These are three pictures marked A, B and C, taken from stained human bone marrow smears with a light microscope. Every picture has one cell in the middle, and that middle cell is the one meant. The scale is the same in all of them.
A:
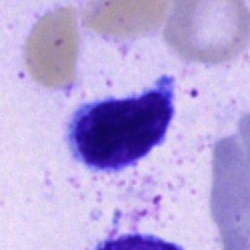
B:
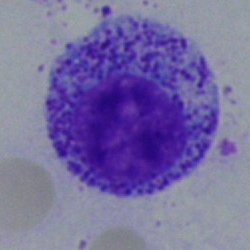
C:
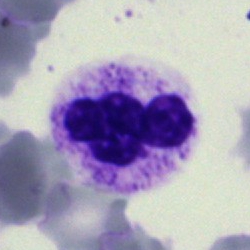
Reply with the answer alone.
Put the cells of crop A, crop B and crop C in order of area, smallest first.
A, C, B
